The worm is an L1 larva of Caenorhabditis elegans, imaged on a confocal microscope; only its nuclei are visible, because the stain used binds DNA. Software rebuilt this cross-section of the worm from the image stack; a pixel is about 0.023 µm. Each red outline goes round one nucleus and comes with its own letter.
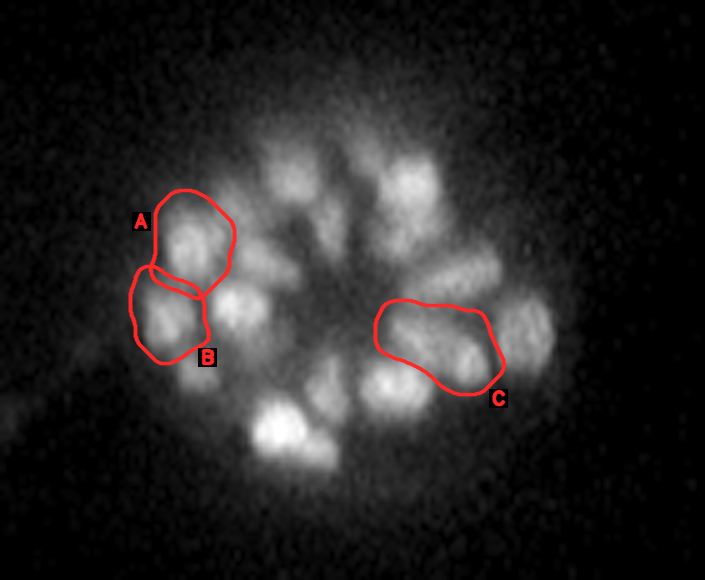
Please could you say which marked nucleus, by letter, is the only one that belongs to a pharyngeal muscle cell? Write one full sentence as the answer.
C is from a pharyngeal muscle cell.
